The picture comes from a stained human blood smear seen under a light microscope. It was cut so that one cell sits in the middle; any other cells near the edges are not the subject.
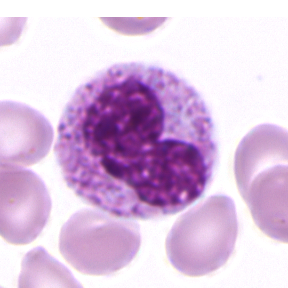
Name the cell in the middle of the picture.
band neutrophil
